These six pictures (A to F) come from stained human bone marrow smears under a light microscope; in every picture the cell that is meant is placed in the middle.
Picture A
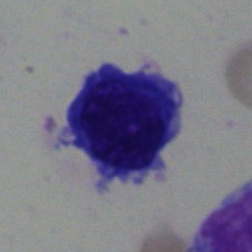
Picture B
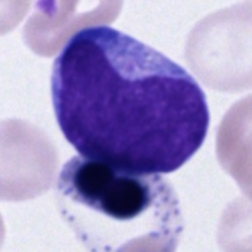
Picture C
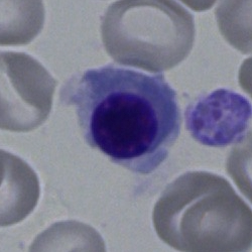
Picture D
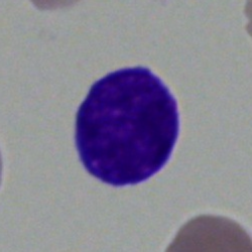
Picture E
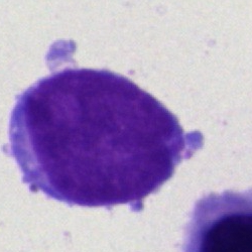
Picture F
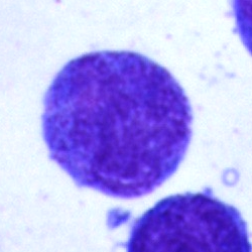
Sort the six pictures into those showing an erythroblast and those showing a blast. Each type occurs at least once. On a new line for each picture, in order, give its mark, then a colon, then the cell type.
A: erythroblast
B: blast
C: erythroblast
D: blast
E: blast
F: blast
